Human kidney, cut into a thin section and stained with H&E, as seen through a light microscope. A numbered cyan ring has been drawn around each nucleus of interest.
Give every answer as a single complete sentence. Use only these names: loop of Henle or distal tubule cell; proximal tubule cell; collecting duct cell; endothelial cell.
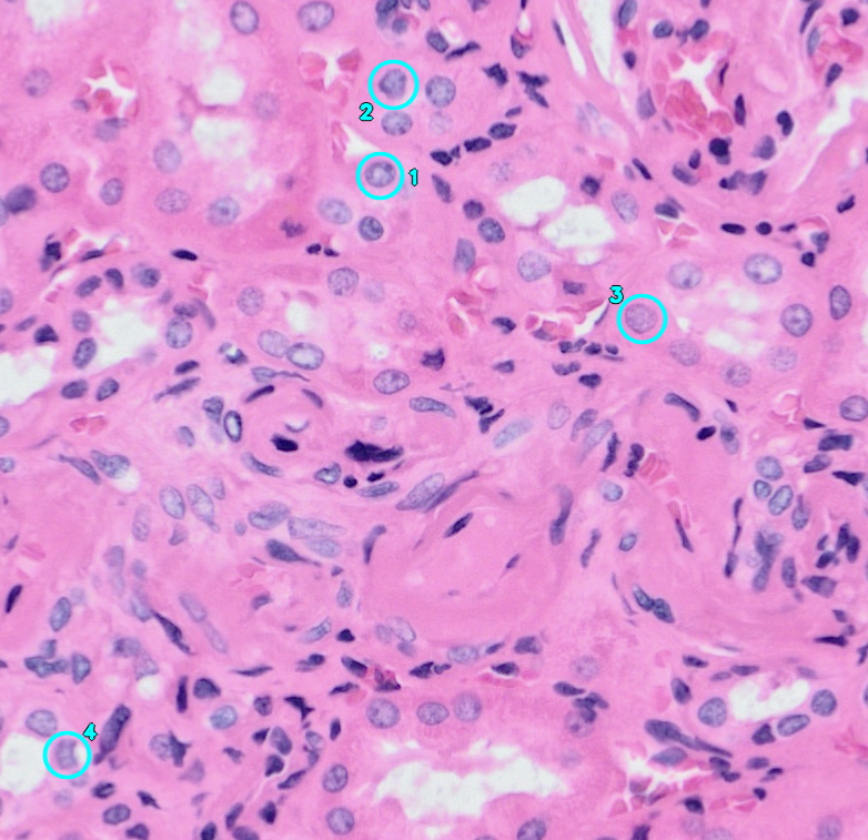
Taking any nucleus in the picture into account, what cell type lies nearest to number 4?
It is a collecting duct cell whose nucleus is nearest to number 4.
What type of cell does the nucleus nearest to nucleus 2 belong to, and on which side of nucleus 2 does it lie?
A loop of Henle or distal tubule cell lies closest, below nucleus 2.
